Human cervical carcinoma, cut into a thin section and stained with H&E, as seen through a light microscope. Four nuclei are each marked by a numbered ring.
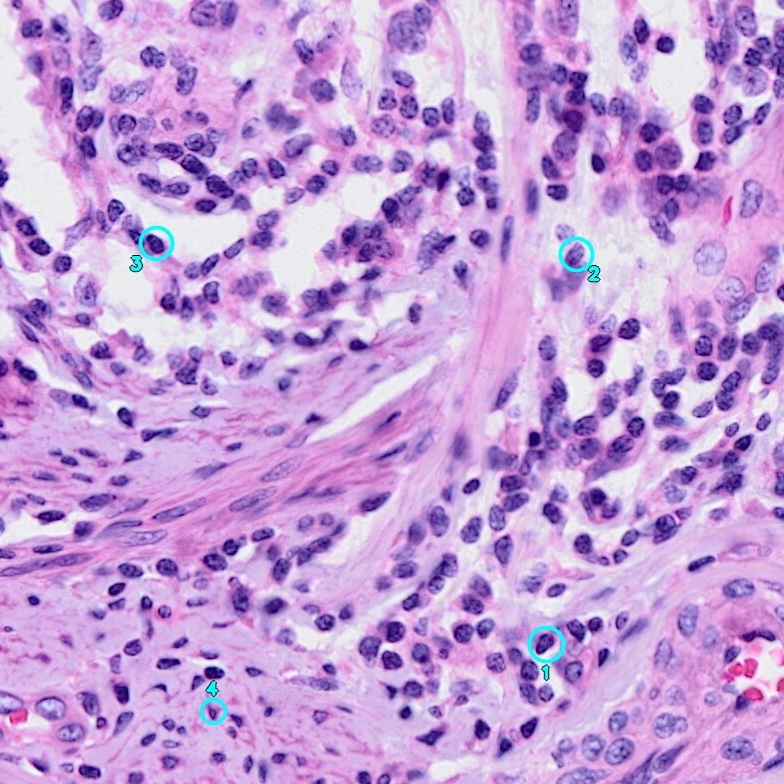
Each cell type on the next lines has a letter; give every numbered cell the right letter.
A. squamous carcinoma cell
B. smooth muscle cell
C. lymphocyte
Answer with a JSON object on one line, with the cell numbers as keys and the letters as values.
{"1": "C", "2": "C", "3": "C", "4": "B"}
